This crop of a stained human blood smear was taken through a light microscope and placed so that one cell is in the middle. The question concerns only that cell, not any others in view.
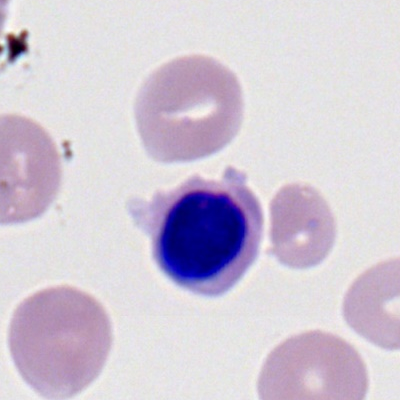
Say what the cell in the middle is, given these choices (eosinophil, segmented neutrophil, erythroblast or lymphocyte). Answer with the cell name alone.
erythroblast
